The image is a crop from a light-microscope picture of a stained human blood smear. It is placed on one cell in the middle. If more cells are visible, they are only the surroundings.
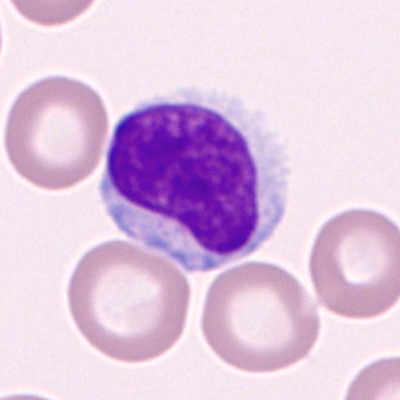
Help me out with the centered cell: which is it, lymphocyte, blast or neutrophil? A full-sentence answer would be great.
In short, the cell at the center is a lymphocyte.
